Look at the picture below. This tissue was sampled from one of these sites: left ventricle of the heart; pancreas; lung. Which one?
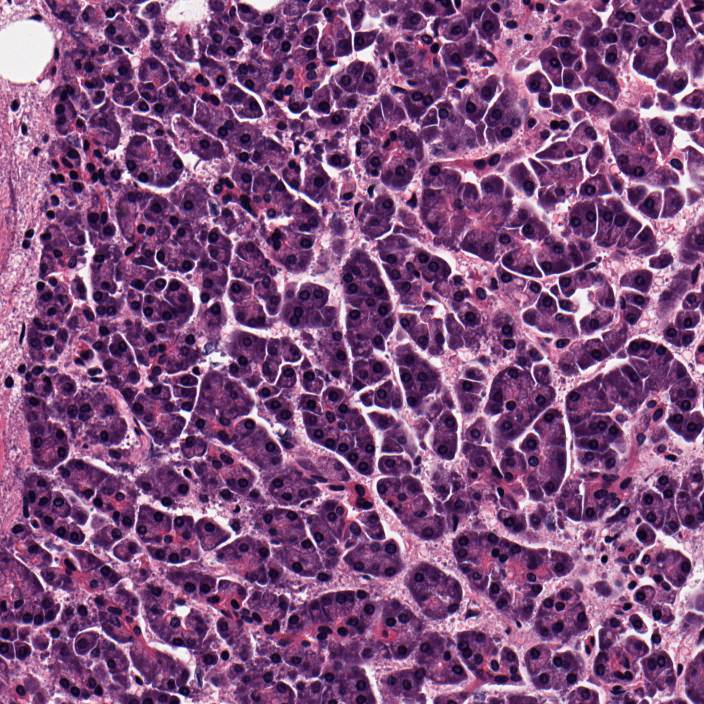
pancreas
